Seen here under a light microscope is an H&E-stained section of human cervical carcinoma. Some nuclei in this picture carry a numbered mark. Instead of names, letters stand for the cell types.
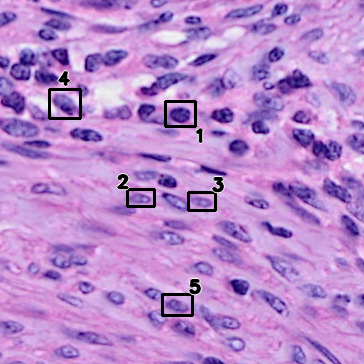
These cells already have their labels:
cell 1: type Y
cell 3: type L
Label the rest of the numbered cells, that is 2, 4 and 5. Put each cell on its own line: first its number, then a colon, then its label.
2: type L
4: type Y
5: type L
